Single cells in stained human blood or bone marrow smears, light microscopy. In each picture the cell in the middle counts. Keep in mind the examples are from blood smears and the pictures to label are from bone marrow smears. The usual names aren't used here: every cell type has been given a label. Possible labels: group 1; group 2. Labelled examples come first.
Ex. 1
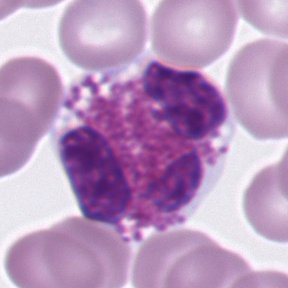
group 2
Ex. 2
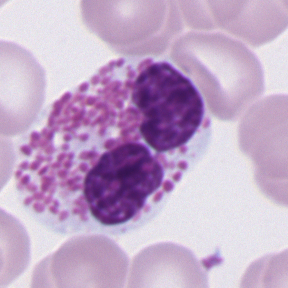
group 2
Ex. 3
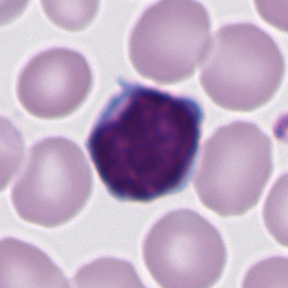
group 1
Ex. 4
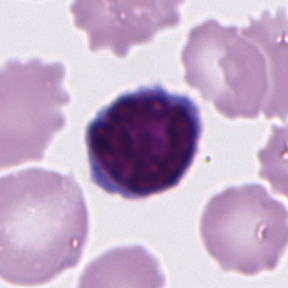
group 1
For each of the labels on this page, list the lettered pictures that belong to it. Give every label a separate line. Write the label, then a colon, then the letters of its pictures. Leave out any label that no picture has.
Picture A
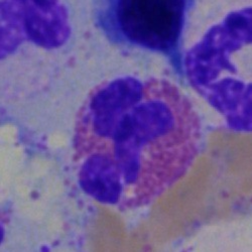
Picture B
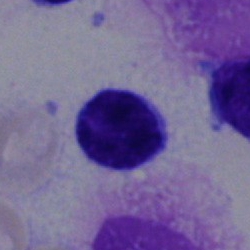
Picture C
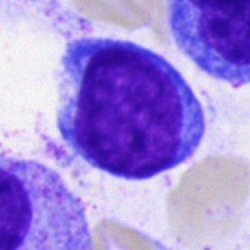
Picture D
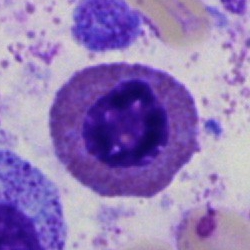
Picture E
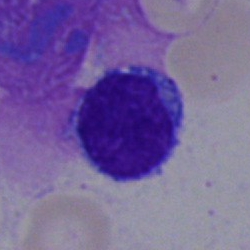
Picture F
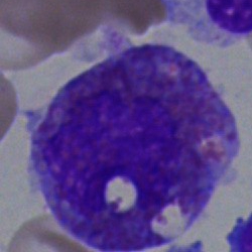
group 1: B, C, E
group 2: A, D, F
